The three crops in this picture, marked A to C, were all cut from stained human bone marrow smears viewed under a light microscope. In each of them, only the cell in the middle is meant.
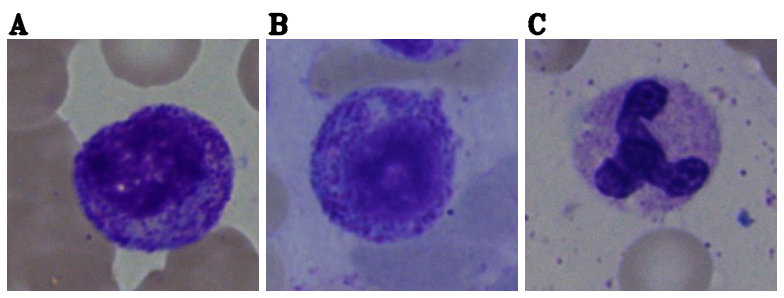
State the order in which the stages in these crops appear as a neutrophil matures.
A, B, C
